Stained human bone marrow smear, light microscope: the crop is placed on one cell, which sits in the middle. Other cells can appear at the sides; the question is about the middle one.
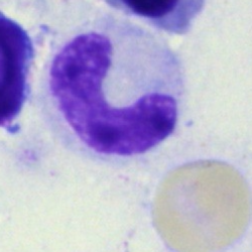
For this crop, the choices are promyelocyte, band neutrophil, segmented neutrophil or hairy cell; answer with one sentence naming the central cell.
To answer, the cell in the center of the crop is a band neutrophil.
